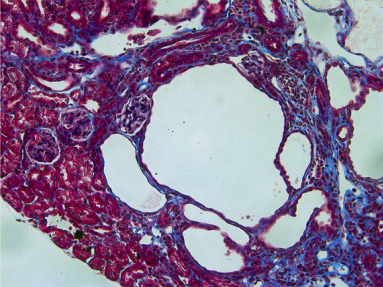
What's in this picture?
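This kidney section shows large focal cysts with surrounding interstitial fibrosis. Several large, empty, rounded cavities occupy the centre and right of the field, separated by thin septa and bordered by flattened lining cells. Bands of blue-stained fibrous tissue lie around the cysts and between nearby tubules, containing scattered dark nuclei. At the left and lower edge, preserved tubules stain deep red with small round nuclei, and a glomerulus is visible at the left margin.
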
